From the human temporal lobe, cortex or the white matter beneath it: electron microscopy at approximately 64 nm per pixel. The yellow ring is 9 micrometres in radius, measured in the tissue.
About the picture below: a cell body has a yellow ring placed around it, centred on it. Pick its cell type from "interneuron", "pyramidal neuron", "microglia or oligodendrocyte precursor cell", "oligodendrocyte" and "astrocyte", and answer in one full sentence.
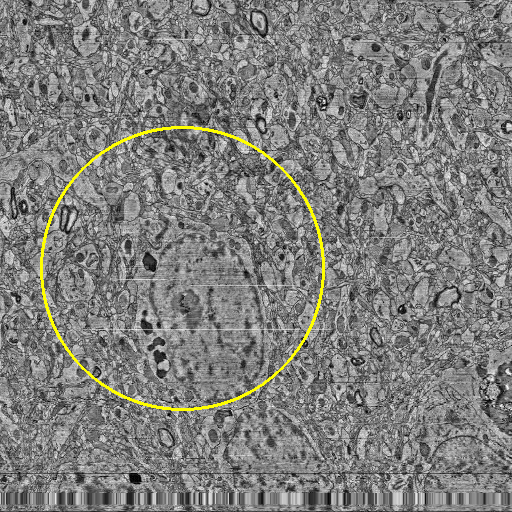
In the picture, an interneuron is the cell sitting at the centre of the yellow ring.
